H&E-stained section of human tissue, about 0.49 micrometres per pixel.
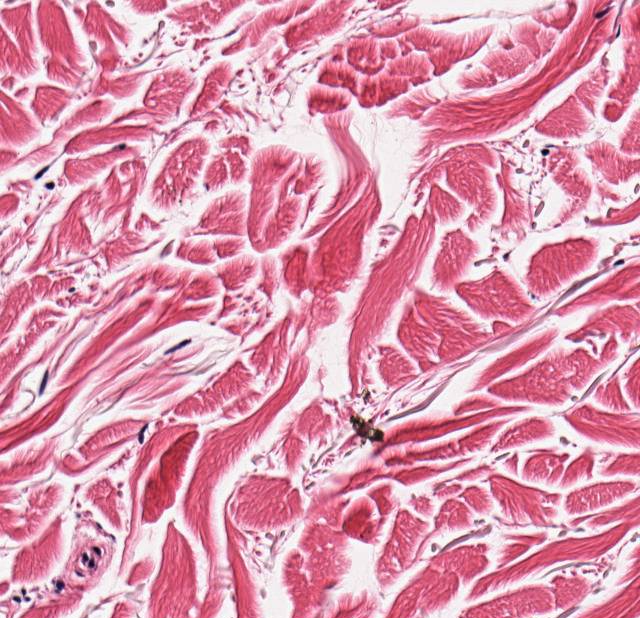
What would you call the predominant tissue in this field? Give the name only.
dermis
